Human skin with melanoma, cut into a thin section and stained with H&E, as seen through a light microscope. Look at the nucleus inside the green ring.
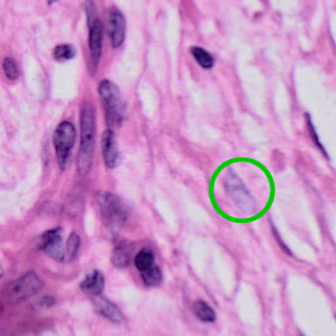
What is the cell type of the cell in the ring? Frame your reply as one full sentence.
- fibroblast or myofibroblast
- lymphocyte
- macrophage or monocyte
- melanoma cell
As classified here, the cell in the ring is a fibroblast or myofibroblast.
